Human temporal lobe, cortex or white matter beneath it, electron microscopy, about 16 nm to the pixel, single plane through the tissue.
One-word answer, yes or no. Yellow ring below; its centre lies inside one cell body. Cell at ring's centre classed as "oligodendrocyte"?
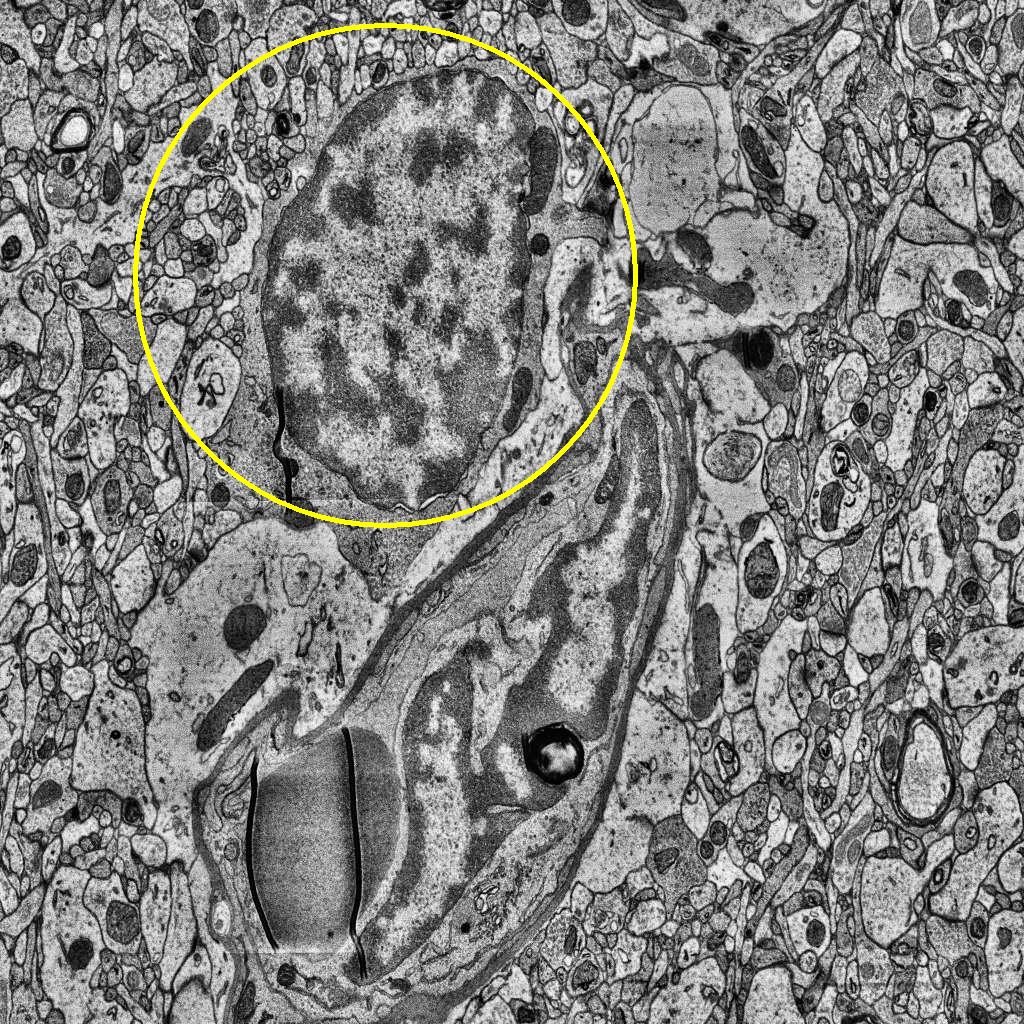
yes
